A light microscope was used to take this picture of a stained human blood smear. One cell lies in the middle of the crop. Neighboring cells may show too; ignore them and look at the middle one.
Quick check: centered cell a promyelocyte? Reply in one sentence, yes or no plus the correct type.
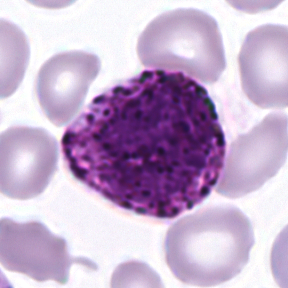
No, what is centred in the crop is not a promyelocyte but a basophil.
